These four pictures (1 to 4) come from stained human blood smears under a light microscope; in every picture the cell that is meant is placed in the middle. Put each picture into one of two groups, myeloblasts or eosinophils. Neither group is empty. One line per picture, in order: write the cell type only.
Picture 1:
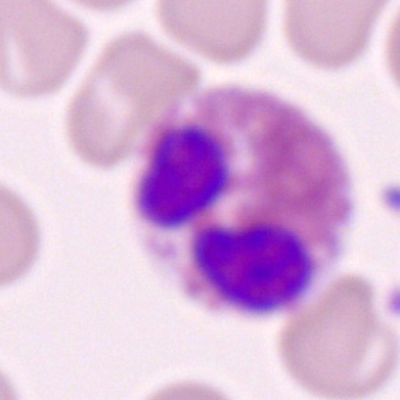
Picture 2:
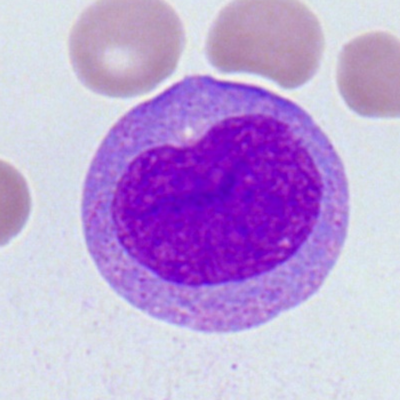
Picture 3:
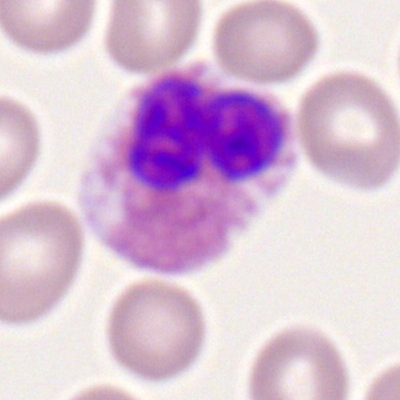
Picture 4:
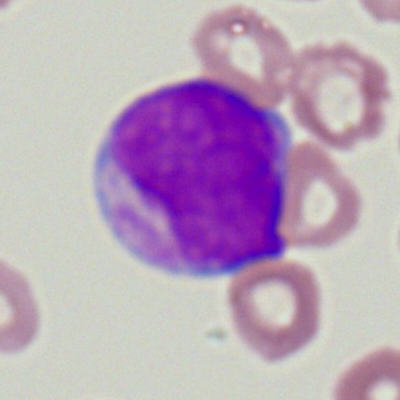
eosinophil
myeloblast
eosinophil
myeloblast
